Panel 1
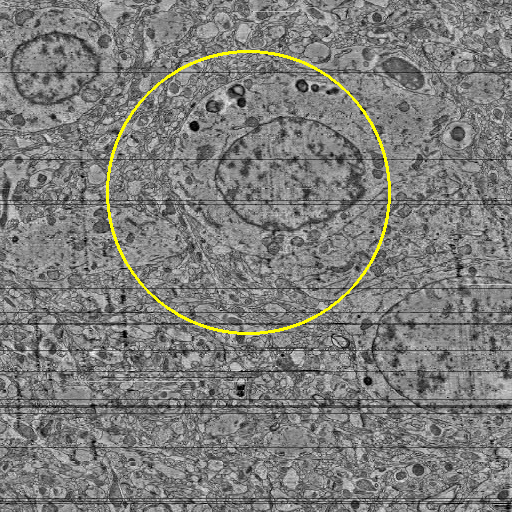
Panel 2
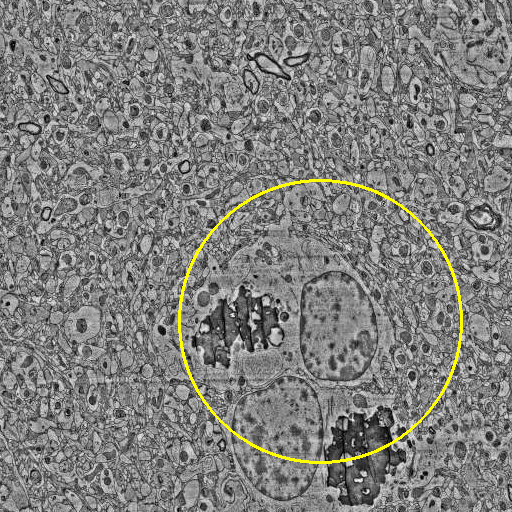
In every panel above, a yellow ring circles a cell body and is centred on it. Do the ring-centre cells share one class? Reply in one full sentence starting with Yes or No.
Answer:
No, the two cells at the ring centres in the panels belong to two classes.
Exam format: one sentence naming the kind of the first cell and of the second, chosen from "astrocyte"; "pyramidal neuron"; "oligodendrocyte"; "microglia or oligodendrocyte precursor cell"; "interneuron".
The first picture's cell is a pyramidal neuron, and the second picture's cell is an astrocyte.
